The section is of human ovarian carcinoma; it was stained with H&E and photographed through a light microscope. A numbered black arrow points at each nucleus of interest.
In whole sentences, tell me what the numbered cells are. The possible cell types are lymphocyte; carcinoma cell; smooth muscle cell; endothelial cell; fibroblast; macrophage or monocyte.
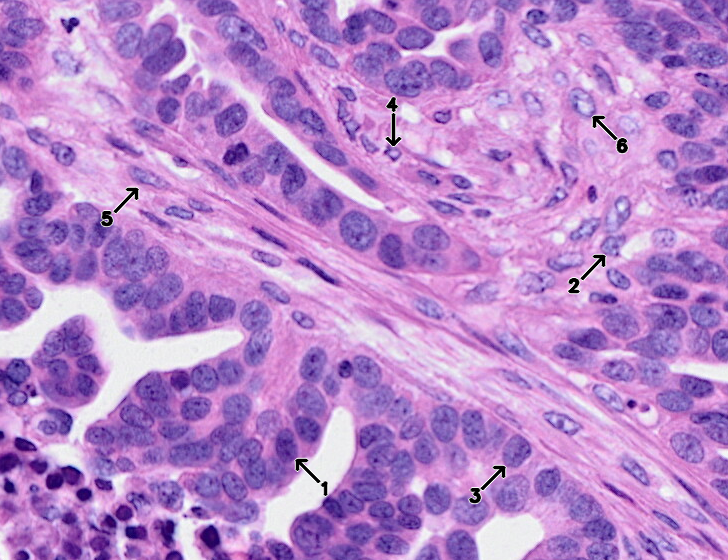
Cell 1 is a carcinoma cell, cell 2 is a fibroblast, cell 3 is a carcinoma cell, cell 4 is a fibroblast, cell 5 is a fibroblast and cell 6 is a fibroblast.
